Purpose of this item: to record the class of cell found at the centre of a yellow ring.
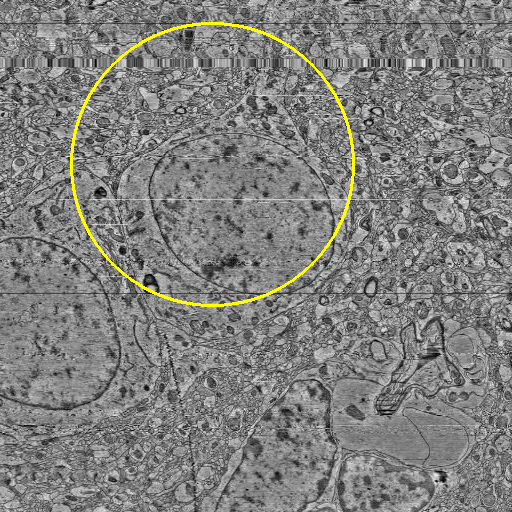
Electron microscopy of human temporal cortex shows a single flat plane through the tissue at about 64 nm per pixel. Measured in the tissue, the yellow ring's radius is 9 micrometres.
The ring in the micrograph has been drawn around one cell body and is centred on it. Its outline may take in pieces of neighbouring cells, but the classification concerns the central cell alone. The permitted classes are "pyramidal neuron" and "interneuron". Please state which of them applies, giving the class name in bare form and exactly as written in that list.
pyramidal neuron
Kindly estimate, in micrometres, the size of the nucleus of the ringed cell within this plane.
Roughly 13 micrometres by 10 micrometres, in this plane.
